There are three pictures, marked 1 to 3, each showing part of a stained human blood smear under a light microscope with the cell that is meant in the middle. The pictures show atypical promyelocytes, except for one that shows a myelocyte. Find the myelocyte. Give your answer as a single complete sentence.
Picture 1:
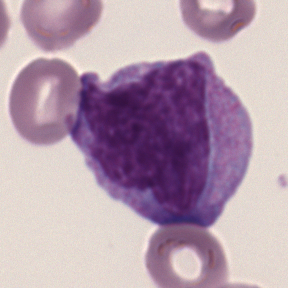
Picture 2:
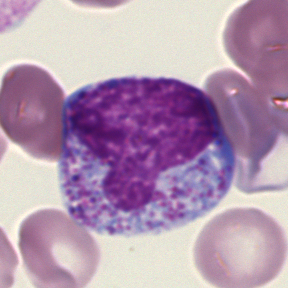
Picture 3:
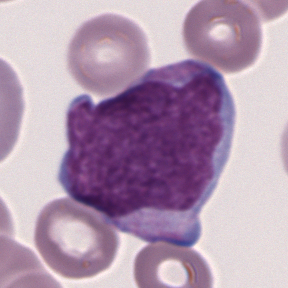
The picture with the myelocyte is 2.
